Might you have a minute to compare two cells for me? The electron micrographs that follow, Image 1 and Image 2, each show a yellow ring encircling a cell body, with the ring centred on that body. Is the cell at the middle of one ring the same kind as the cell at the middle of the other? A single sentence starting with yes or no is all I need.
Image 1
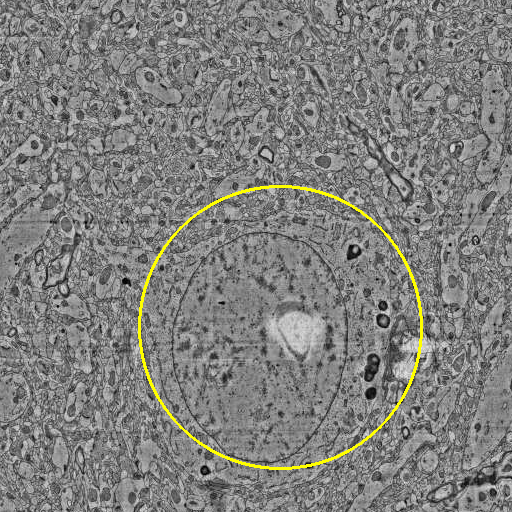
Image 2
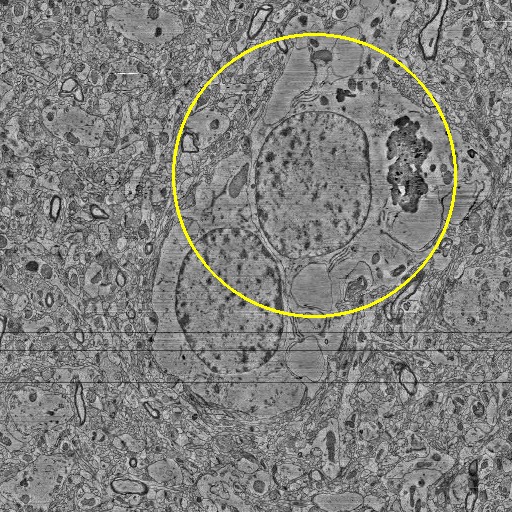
No, the cells in the middle of the two rings are of two separate kinds.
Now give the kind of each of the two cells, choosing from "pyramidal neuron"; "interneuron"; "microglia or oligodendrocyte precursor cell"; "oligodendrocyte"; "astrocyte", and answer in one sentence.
The cell in the first picture is a pyramidal neuron, and the cell in the second is an astrocyte.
